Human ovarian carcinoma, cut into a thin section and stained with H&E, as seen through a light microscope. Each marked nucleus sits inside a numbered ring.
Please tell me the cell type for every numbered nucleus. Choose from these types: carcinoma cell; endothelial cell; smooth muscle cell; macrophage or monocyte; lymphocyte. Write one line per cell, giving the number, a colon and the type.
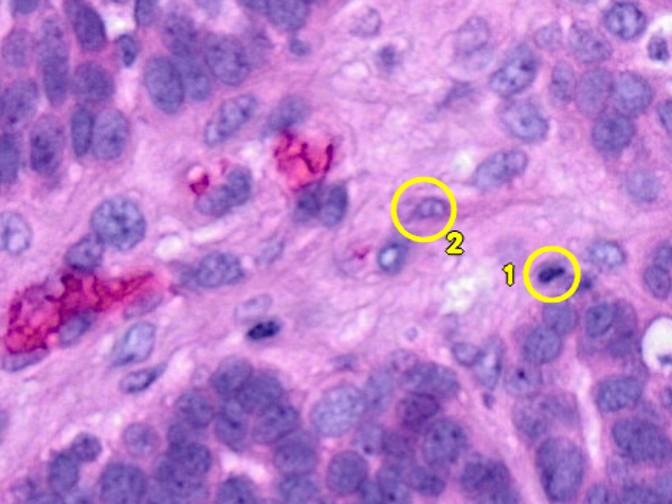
1: lymphocyte
2: endothelial cell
